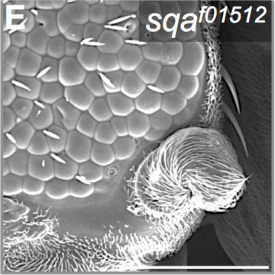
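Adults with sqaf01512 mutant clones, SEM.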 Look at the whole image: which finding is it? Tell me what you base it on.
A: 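A rounded outgrowth covered with fine hairs sits at the edge of a field of hexagonal facets. The facet field carries scattered bristles. So: antenna-like tissue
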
